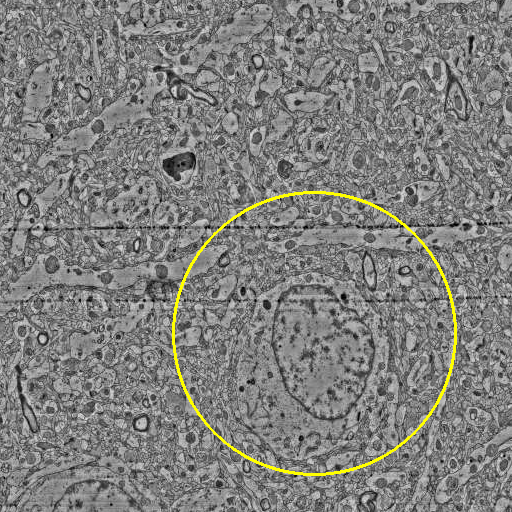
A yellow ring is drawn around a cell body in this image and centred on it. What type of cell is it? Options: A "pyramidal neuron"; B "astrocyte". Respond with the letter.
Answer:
A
